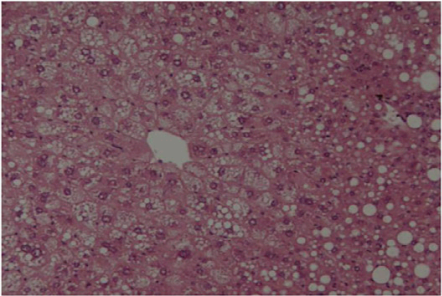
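Liver parenchyma with hepatocytes showing extensive fatty change. Most hepatocytes contain clear, unstained vacuoles in their pink cytoplasm; some hold many small vacuoles giving a foamy look, others a single large round droplet pushing the nucleus aside, particularly toward the right. Nuclei are round and purple, mostly centrally placed in the less affected cells. A central vessel lumen lies near the middle.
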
